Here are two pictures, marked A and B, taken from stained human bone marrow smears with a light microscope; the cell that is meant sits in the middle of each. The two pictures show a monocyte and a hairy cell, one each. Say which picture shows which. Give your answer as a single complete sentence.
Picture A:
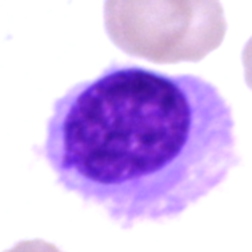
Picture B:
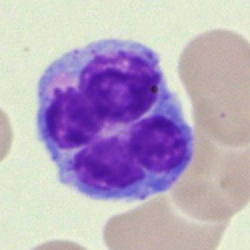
Picture A shows a hairy cell and picture B shows a monocyte.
